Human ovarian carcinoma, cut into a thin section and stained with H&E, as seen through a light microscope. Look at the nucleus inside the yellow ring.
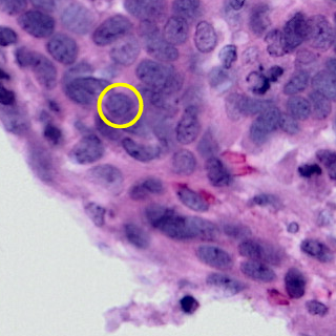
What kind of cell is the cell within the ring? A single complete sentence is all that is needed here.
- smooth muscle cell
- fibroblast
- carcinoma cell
It is a carcinoma cell that the cell within the ring represents.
